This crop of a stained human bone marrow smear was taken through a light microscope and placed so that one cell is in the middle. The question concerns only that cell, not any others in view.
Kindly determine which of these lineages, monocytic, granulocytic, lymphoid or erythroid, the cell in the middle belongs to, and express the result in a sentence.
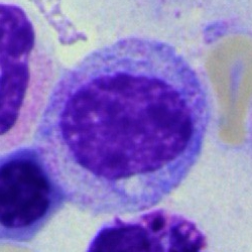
The cell at the center belongs, by lineage, to the granulocytic line.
